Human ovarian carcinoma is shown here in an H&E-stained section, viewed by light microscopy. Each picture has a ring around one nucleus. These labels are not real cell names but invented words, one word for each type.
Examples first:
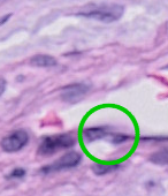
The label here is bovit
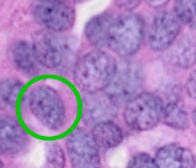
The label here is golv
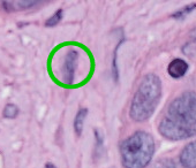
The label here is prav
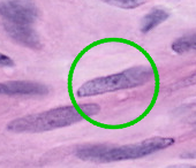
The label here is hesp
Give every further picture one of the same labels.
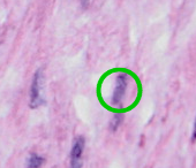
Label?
prav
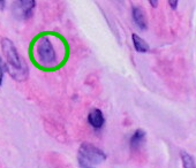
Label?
hesp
